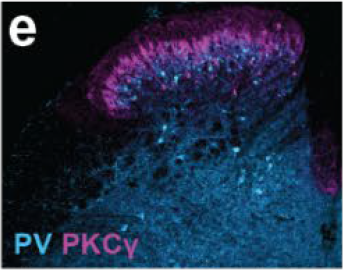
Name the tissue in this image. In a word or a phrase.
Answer: Dorsal horn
